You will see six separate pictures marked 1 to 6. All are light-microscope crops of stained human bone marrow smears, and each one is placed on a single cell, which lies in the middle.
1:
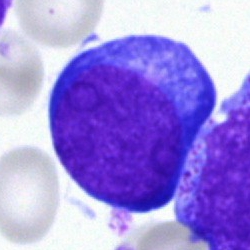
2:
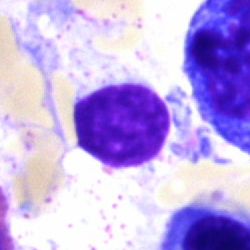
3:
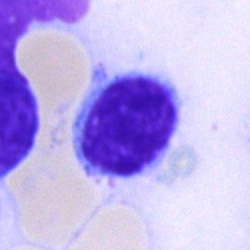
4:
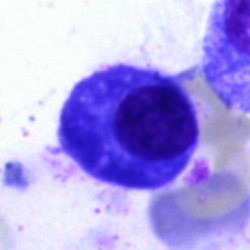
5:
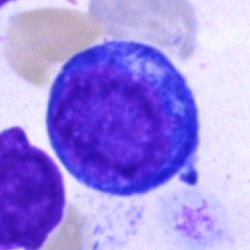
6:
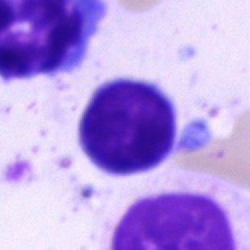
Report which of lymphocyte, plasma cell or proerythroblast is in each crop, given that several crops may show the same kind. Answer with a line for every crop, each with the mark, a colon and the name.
1: proerythroblast
2: lymphocyte
3: lymphocyte
4: plasma cell
5: proerythroblast
6: lymphocyte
